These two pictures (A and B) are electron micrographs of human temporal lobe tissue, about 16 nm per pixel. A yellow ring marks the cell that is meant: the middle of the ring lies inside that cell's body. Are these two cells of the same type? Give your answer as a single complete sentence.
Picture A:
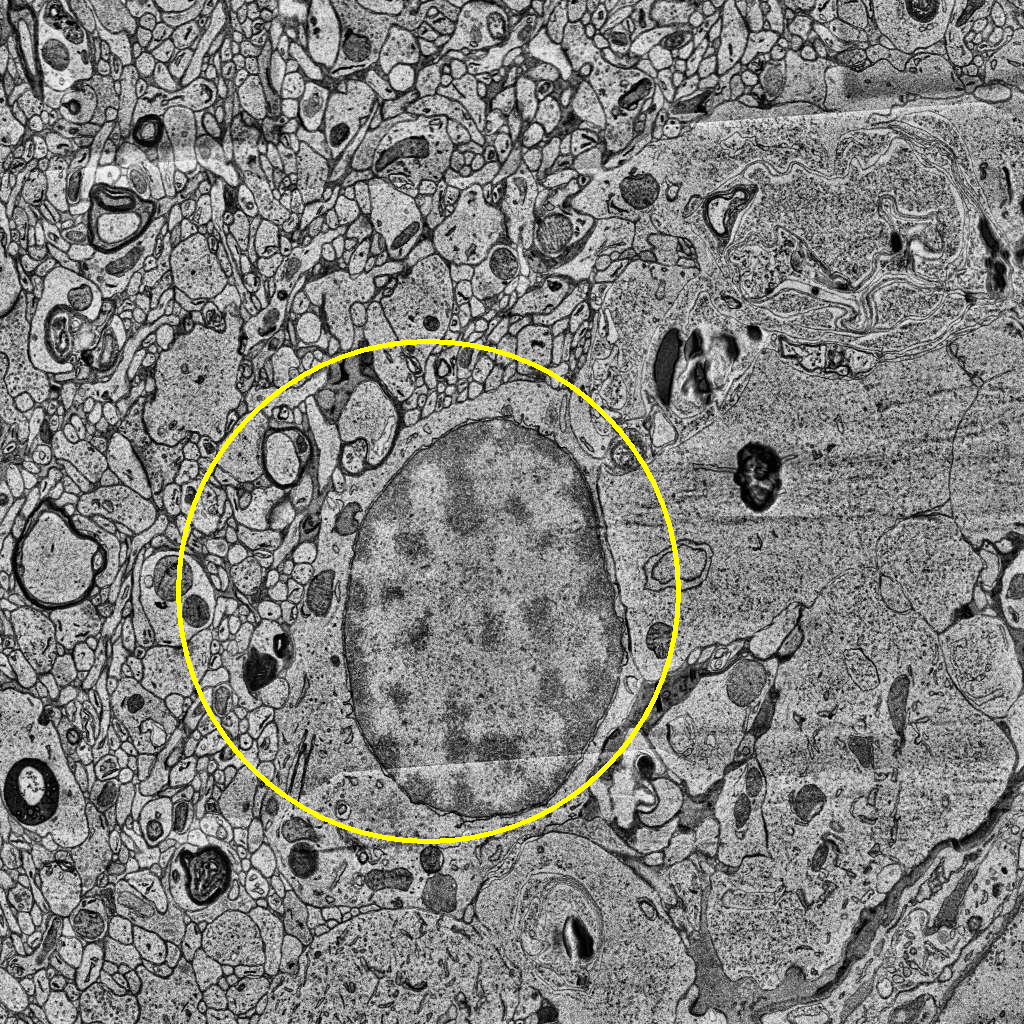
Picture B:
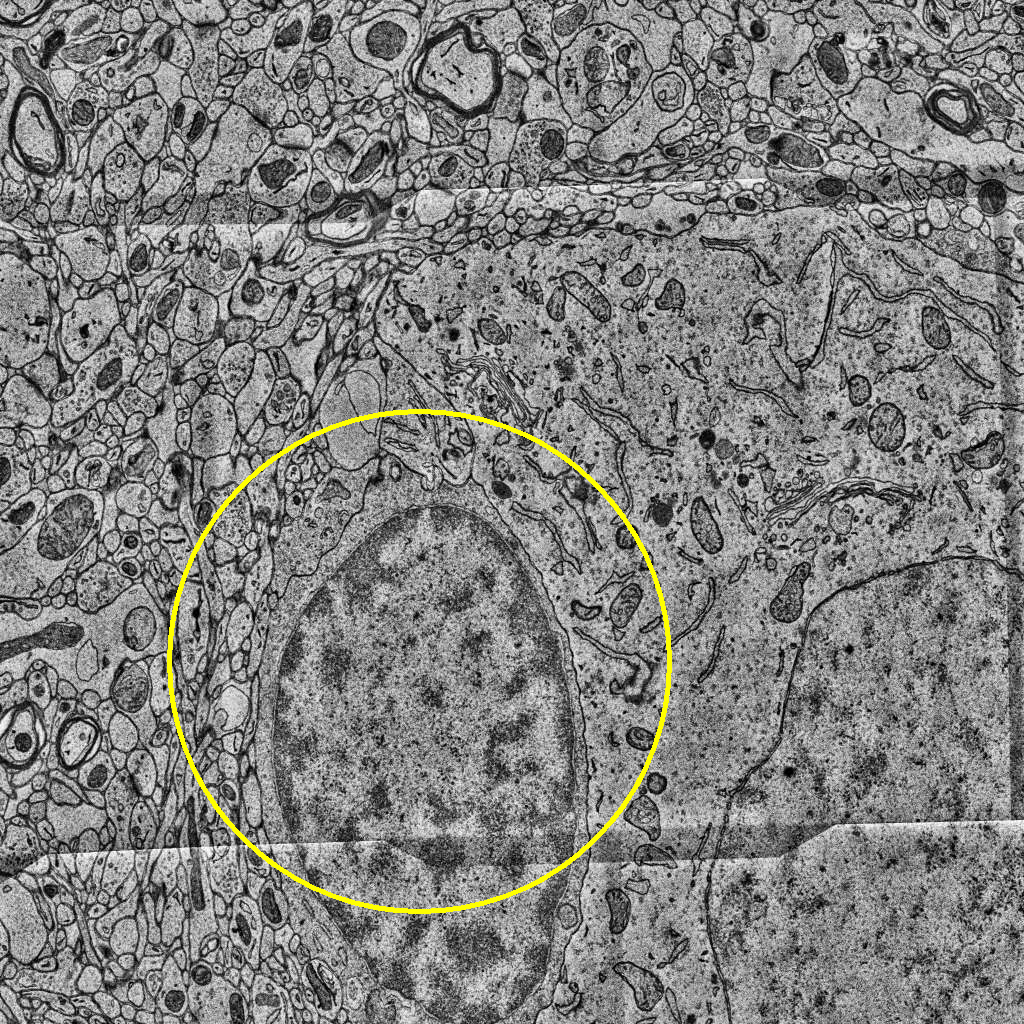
Yes, they are the same type: both are oligodendrocytes.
